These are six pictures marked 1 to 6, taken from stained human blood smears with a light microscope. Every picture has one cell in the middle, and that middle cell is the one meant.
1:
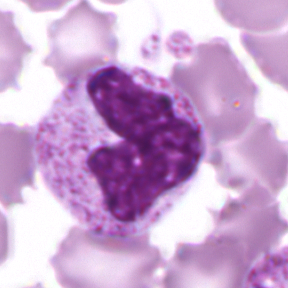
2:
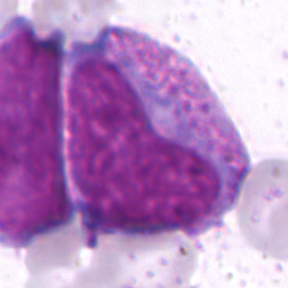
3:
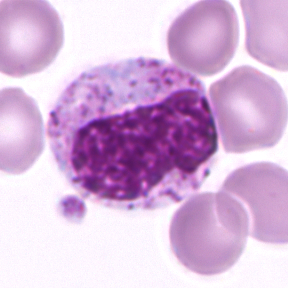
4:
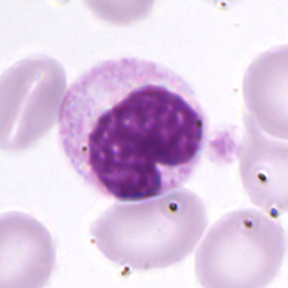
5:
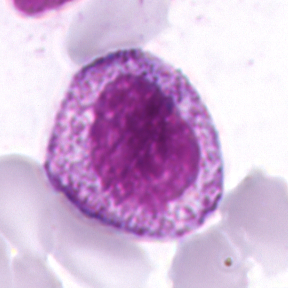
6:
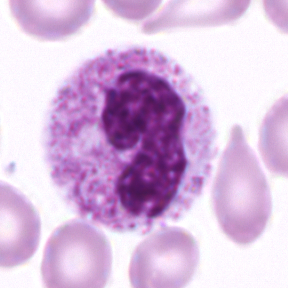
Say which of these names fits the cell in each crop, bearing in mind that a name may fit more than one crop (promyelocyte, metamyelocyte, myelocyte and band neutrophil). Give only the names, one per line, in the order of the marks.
band neutrophil
promyelocyte
metamyelocyte
band neutrophil
myelocyte
band neutrophil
